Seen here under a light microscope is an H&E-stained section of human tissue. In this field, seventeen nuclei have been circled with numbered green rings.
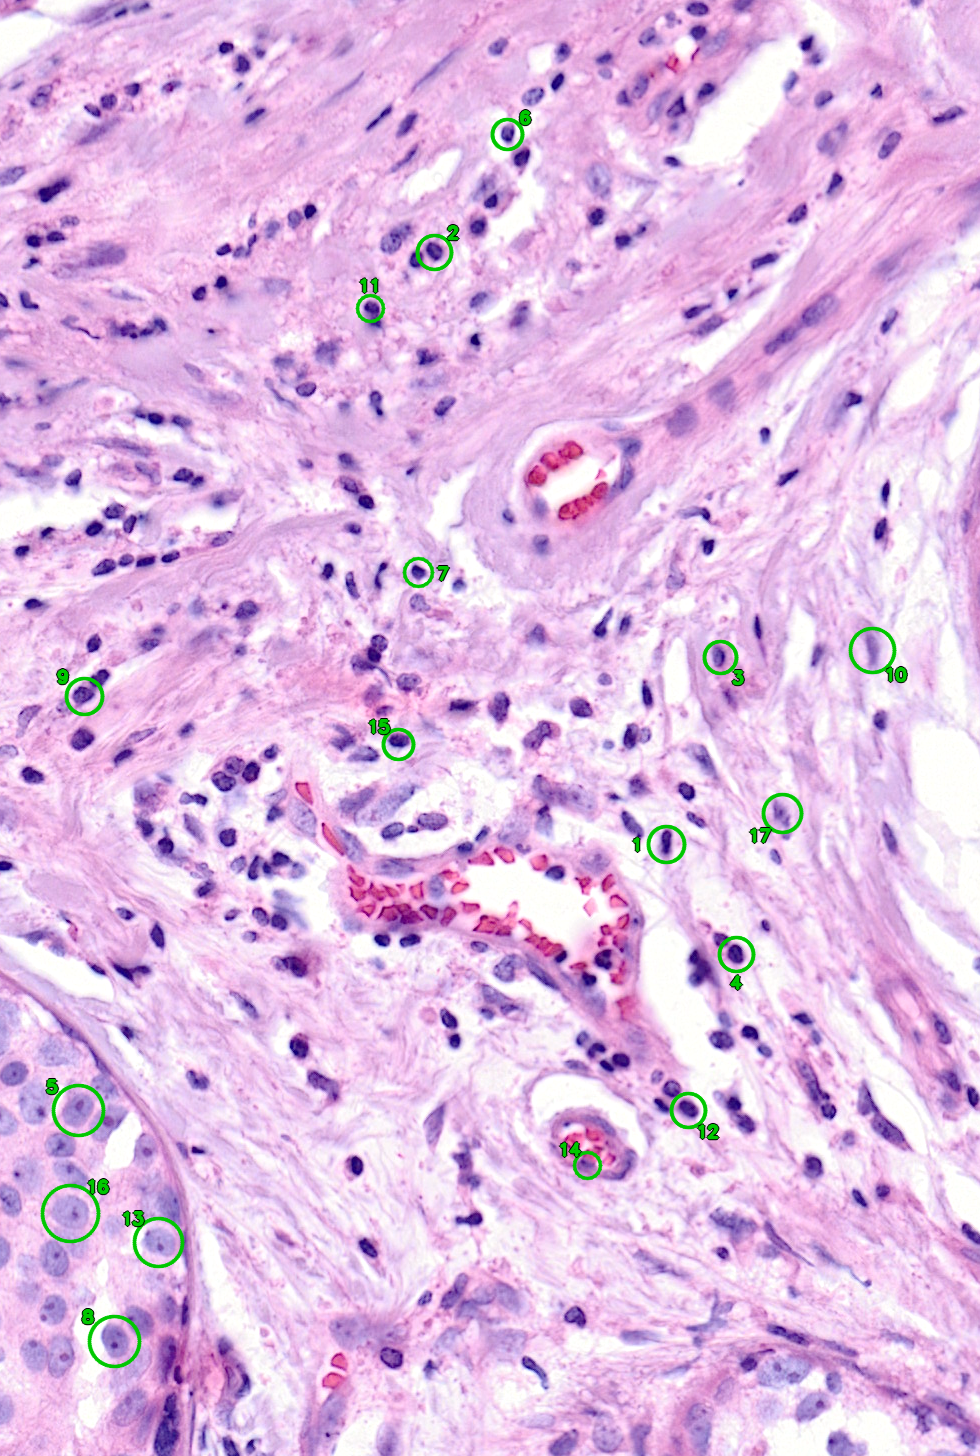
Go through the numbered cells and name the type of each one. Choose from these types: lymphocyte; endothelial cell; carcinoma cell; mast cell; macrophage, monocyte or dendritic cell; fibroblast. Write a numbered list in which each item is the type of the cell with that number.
1. lymphocyte
2. lymphocyte
3. mast cell
4. lymphocyte
5. carcinoma cell
6. lymphocyte
7. lymphocyte
8. carcinoma cell
9. lymphocyte
10. fibroblast
11. lymphocyte
12. lymphocyte
13. carcinoma cell
14. endothelial cell
15. lymphocyte
16. carcinoma cell
17. fibroblast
